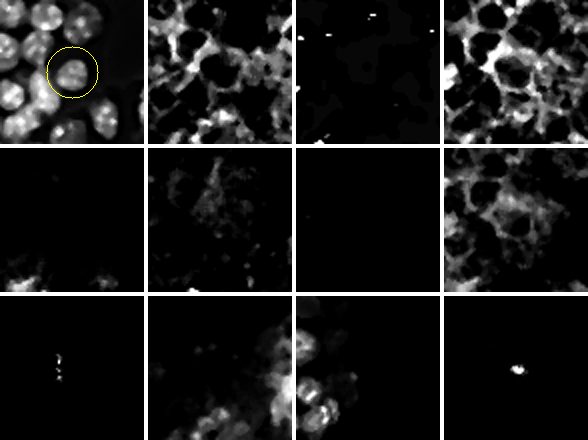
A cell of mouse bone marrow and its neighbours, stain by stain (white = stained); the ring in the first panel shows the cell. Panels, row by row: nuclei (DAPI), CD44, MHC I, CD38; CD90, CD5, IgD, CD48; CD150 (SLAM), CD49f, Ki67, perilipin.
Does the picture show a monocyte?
Yes.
